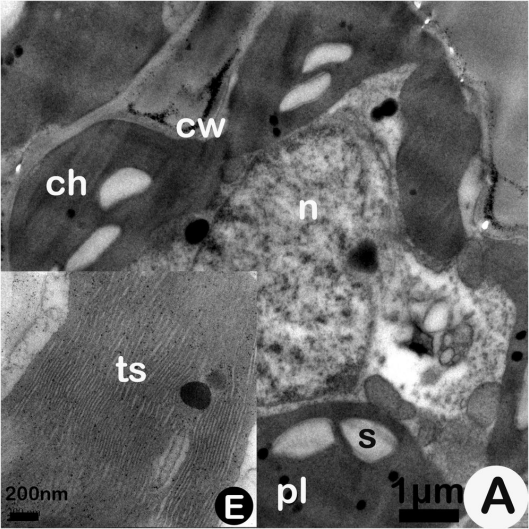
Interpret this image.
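Mesophyll cells of a leaf seen by transmission electron microscopy, their cytoplasm crowded with large, elongated chloroplasts pressed against thin grey cell walls. In the middle a large rounded region of finely granular, lighter material is bordered by chloroplasts. The inset at higher magnification shows the inside of a chloroplast: many thin, parallel thylakoid membranes run in ordered stacks across the stroma, with a single dark round plastoglobulus among them.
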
